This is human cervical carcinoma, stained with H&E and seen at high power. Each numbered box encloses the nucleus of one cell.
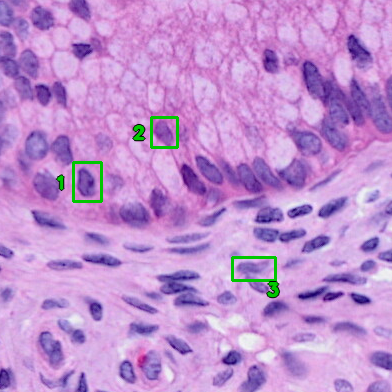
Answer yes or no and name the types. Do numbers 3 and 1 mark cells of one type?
No, whereas cell 1 is a secretory epithelial cell, cell 3 is a fibroblast.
